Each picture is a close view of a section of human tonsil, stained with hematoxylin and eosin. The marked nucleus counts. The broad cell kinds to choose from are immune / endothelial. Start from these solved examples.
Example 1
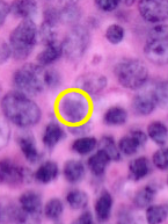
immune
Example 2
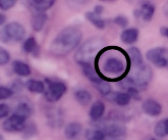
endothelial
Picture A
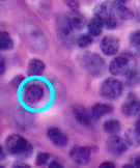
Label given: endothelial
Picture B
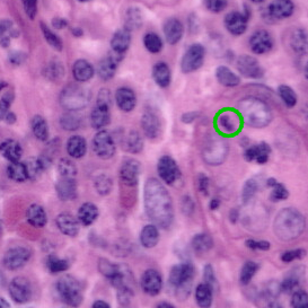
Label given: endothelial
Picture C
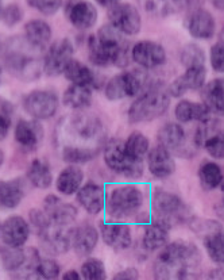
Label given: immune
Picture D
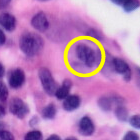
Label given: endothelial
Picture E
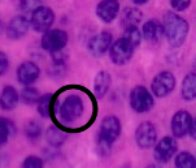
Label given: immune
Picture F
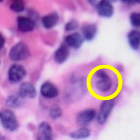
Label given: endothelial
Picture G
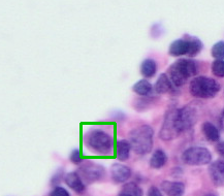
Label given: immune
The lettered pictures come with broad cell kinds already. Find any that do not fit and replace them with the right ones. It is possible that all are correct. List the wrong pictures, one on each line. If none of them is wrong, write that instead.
Every label is right.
